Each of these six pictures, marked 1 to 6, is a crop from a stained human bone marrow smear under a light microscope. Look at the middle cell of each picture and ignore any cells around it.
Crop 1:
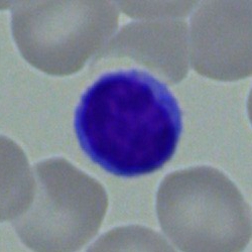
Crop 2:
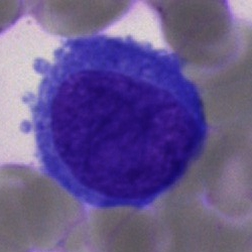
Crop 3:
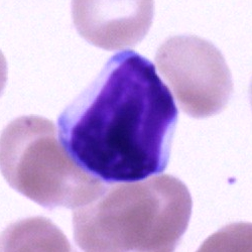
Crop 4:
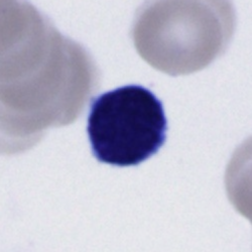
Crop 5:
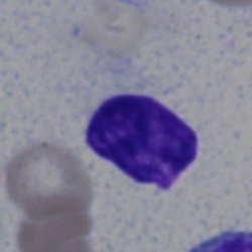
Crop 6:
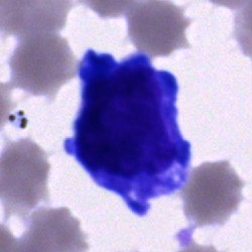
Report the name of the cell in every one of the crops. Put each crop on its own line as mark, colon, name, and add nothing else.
1: lymphocyte
2: blast
3: lymphocyte
4: lymphocyte
5: lymphocyte
6: blast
